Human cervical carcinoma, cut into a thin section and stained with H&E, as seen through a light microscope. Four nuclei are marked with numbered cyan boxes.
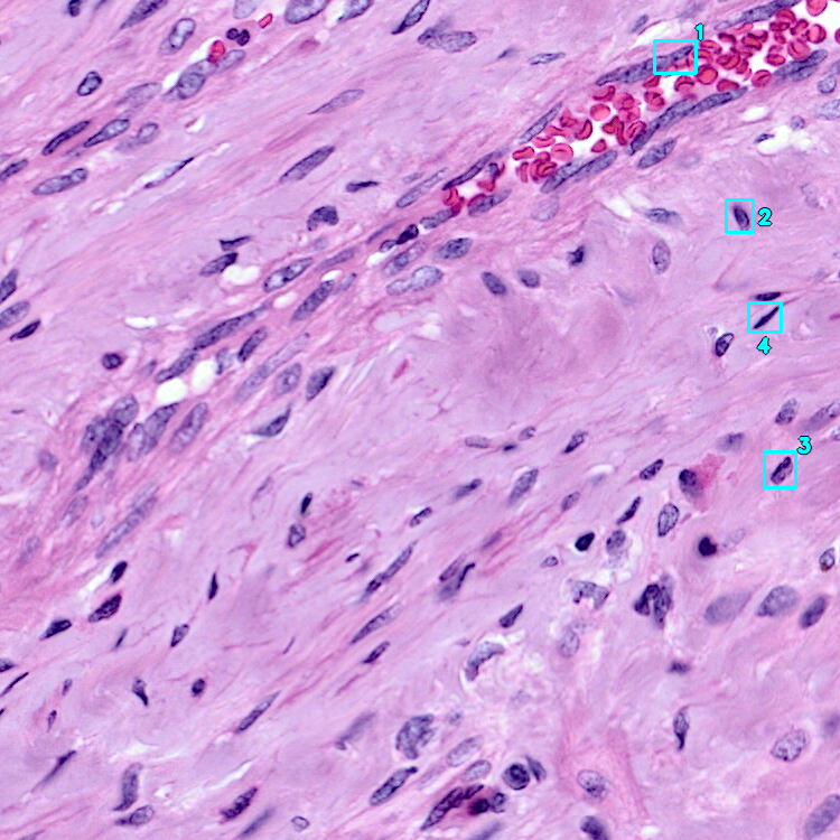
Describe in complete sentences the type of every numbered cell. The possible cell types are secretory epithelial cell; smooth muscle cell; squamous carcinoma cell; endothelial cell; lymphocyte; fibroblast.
Cell 1 is an endothelial cell, cell 2 is a fibroblast, cell 3 is a lymphocyte and cell 4 is a fibroblast.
